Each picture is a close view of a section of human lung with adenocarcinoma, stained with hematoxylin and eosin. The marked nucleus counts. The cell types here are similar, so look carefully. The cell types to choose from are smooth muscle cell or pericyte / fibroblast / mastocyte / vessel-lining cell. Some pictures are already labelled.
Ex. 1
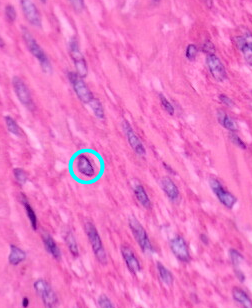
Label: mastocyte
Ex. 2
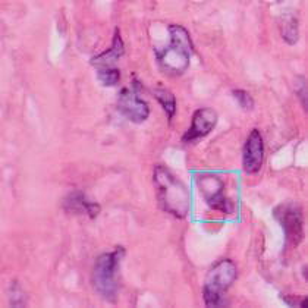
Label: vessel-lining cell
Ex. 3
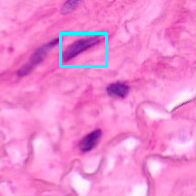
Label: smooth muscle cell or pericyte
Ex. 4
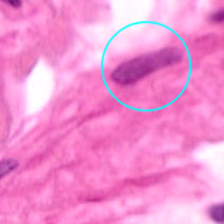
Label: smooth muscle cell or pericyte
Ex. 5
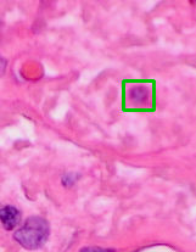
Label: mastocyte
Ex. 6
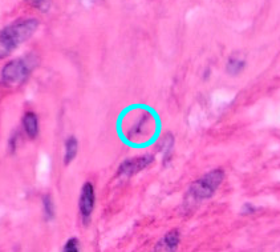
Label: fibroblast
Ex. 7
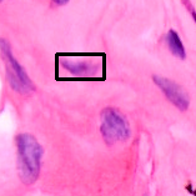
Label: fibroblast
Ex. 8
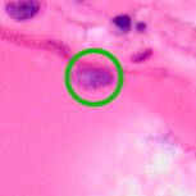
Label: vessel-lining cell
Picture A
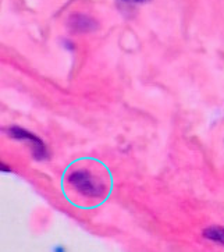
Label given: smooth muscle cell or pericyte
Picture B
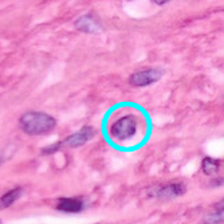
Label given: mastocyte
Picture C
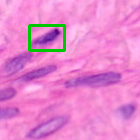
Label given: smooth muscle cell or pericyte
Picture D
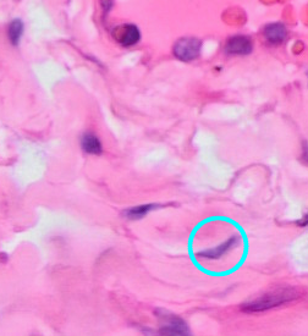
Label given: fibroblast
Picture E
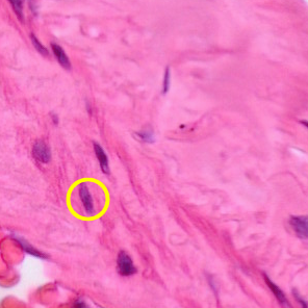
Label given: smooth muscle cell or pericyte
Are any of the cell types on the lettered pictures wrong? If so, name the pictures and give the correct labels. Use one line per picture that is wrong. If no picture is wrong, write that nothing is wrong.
Nothing to fix; every label fits.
